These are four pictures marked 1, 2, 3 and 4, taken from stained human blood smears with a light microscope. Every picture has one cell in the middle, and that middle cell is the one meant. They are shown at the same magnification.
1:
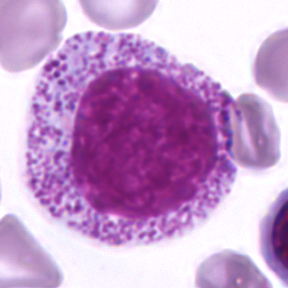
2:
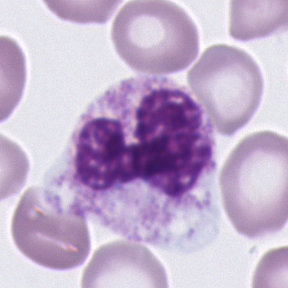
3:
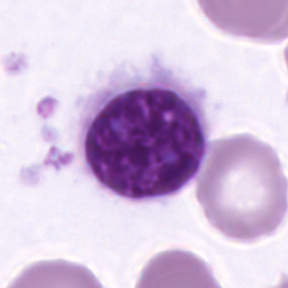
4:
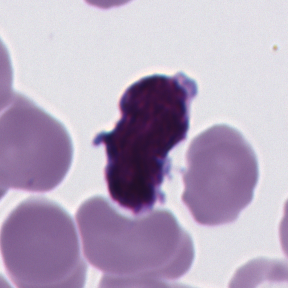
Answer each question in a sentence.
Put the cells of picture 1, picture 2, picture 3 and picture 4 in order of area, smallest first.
Going up, they run 4, 3, 2, 1.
